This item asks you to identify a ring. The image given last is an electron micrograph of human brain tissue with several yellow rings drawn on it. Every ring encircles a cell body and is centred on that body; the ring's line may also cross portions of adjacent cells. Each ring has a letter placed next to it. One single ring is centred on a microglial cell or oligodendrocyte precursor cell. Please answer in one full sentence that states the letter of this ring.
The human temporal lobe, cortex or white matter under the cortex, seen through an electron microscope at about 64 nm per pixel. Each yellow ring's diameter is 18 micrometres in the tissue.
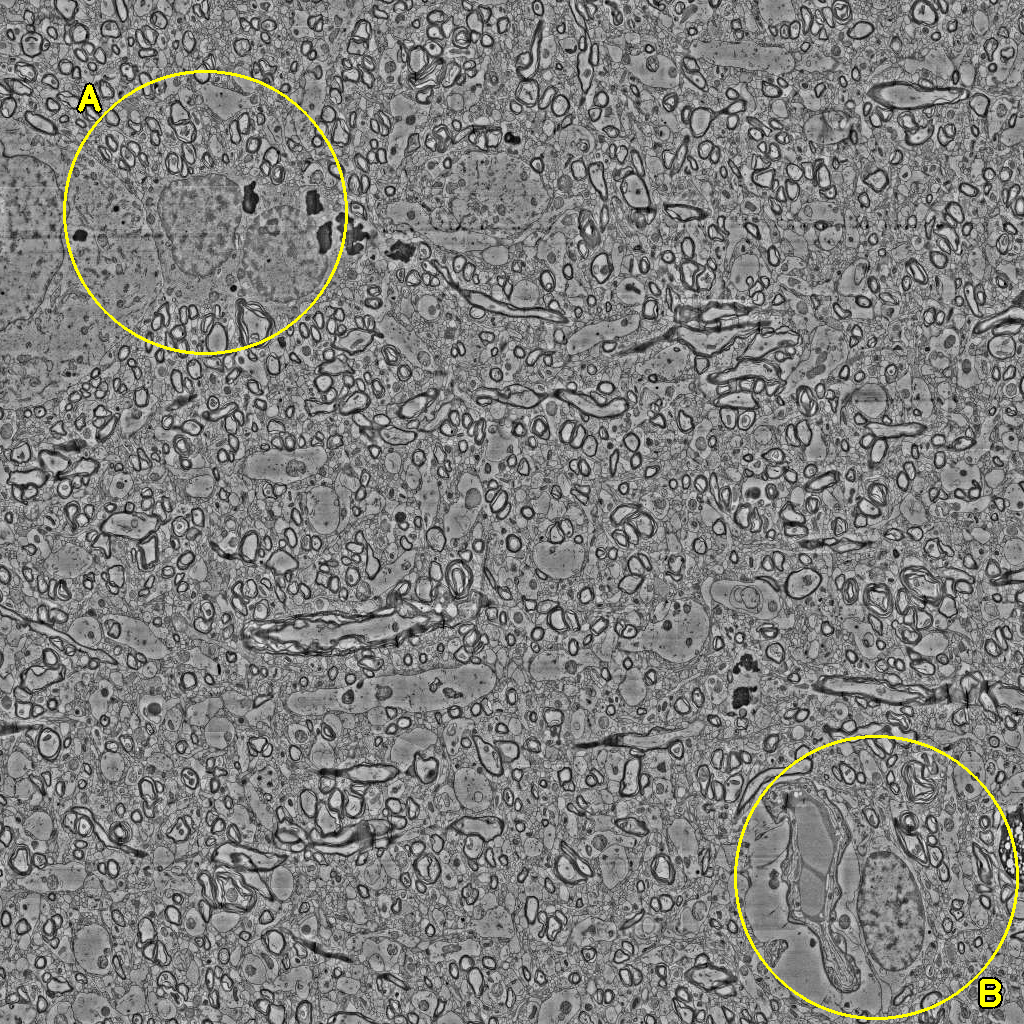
My answer is letter B, the ring centred on the cell asked for.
